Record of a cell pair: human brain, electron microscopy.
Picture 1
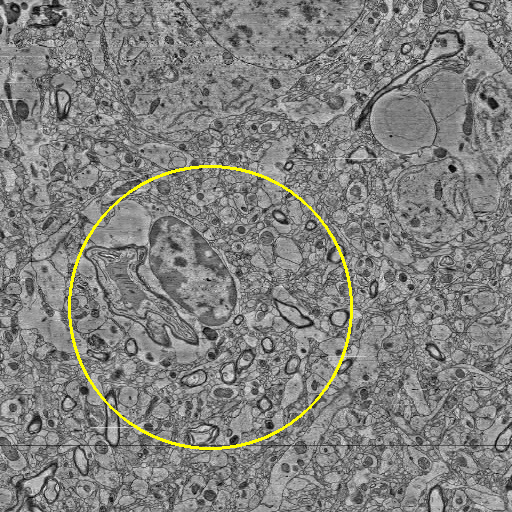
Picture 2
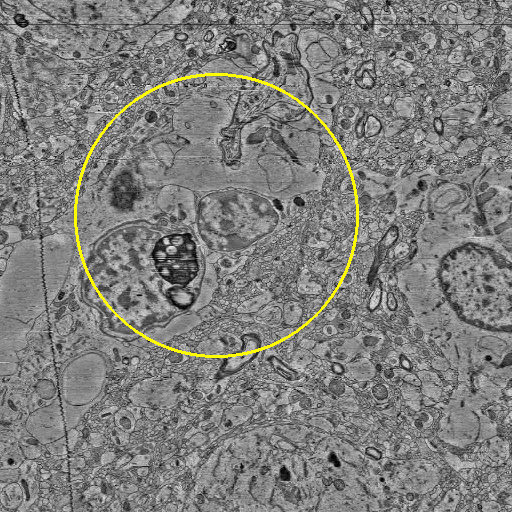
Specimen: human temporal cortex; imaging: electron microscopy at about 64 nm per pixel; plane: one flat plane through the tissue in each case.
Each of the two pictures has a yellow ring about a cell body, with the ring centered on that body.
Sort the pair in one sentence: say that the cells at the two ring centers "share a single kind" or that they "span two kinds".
The cells centered in the rings of Pictures 1 and 2 share a single kind.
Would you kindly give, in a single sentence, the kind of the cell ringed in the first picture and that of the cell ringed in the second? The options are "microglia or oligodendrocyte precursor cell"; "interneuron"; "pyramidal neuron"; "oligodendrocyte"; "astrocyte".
Each cell at the centre of a ring is a microglial cell or oligodendrocyte precursor cell.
